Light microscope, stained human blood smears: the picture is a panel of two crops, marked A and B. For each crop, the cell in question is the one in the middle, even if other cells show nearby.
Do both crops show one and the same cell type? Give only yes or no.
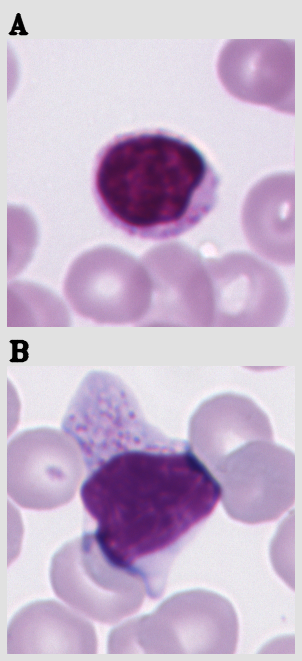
yes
